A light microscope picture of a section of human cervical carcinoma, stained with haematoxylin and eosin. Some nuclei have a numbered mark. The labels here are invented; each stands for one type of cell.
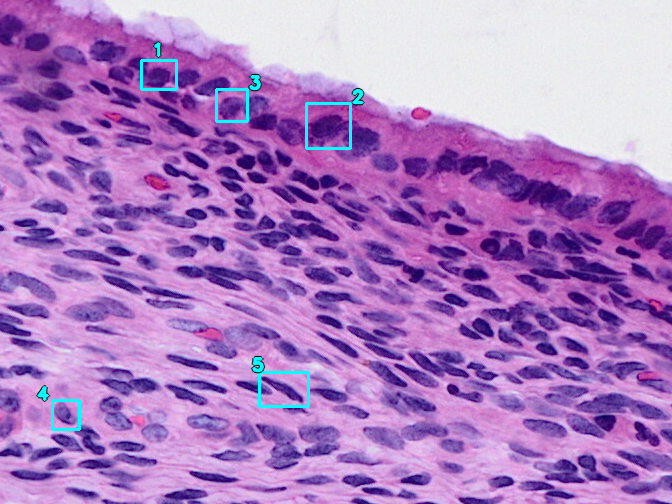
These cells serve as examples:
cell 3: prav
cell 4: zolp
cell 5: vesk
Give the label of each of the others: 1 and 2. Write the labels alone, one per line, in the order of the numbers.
prav
prav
